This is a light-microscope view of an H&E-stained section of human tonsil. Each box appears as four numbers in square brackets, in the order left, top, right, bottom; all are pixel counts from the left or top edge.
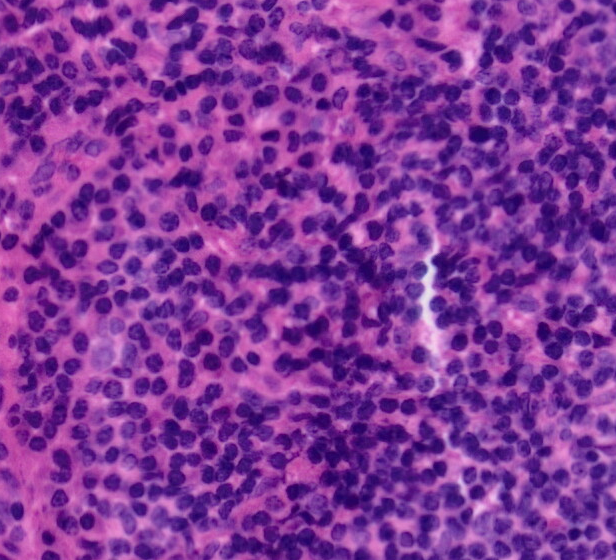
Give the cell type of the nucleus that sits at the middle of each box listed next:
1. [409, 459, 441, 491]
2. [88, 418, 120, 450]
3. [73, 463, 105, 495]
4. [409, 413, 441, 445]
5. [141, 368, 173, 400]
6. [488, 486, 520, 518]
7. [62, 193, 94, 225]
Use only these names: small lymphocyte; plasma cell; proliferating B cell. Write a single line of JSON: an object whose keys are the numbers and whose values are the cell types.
{"1": "small lymphocyte", "2": "plasma cell", "3": "plasma cell", "4": "small lymphocyte", "5": "plasma cell", "6": "small lymphocyte", "7": "plasma cell"}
